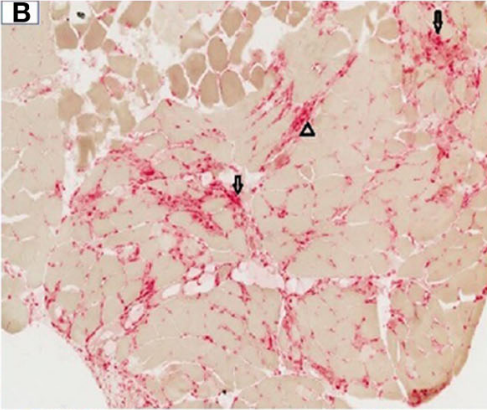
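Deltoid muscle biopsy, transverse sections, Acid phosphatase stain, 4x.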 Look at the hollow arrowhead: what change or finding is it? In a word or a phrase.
Perimysial histiocytic inflammation.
